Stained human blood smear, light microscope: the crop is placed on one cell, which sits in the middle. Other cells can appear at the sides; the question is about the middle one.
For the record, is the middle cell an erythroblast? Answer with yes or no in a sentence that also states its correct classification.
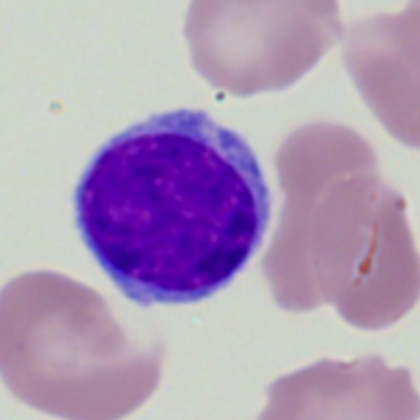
No, the cell at the centre is identified as a lymphocyte, not as an erythroblast.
